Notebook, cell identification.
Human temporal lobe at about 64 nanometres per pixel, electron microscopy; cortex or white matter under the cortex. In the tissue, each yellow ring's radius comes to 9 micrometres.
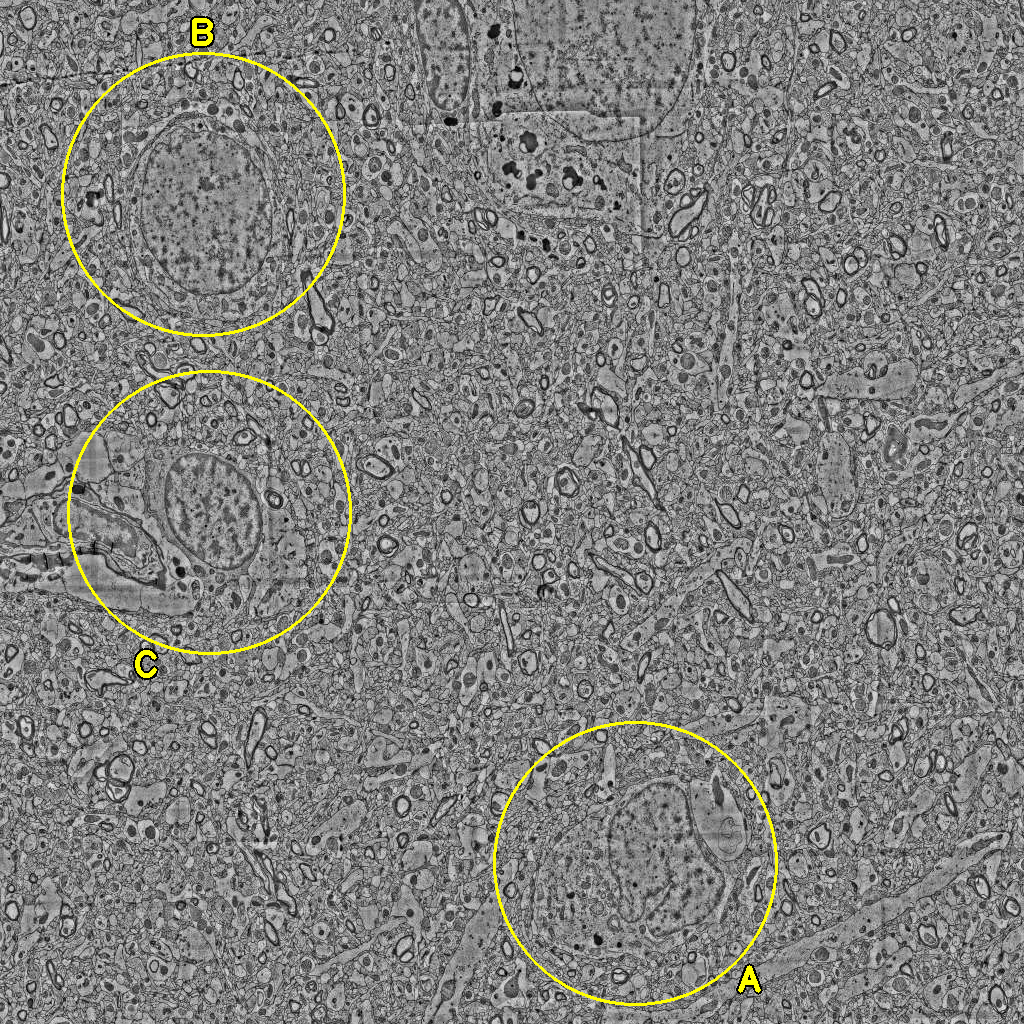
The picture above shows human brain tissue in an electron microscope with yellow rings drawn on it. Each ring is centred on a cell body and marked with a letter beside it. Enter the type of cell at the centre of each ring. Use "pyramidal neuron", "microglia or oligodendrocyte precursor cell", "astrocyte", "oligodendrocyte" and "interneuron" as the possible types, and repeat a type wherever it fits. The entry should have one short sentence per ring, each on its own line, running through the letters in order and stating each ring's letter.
The cell body in ring A belongs to an interneuron.
The cell body in ring B belongs to an interneuron.
The cell body in ring C belongs to an oligodendrocyte.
